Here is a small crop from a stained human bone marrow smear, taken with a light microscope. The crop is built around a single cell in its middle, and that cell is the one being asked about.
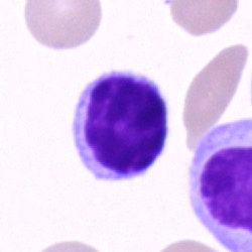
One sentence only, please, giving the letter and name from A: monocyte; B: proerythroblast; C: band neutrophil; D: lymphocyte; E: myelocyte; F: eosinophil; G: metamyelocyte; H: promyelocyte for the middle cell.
Option D, which names the central cell as a lymphocyte, is correct.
